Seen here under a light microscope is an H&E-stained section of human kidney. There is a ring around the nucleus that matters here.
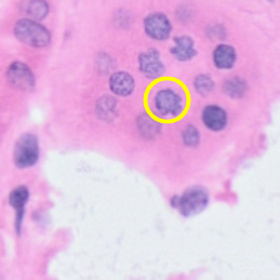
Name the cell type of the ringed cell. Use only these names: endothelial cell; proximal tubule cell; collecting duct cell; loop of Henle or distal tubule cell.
loop of Henle or distal tubule cell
